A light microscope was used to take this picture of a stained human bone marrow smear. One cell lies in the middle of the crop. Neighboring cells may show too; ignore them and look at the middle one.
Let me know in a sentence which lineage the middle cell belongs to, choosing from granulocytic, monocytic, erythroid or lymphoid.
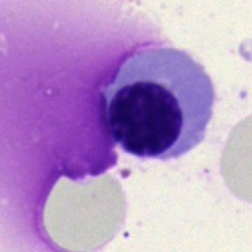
Lineage classification of the central cell is erythroid.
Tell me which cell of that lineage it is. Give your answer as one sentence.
At the crop's centre, the cell is an erythroblast.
